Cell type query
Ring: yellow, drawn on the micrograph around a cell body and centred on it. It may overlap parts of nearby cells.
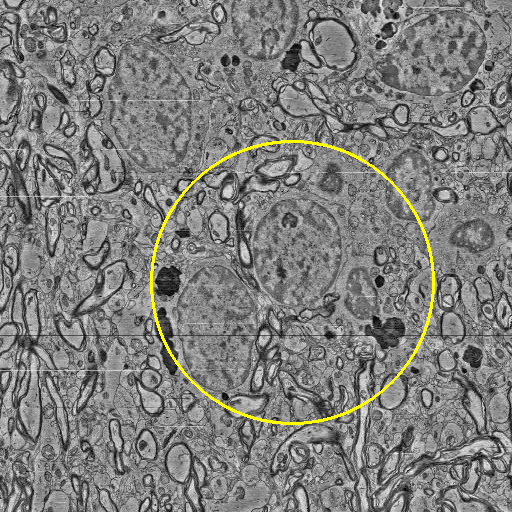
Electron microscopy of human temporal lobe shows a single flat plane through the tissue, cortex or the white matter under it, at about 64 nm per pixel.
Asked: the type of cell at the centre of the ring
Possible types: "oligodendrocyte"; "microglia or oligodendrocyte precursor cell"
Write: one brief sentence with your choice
The ring marks an oligodendrocyte.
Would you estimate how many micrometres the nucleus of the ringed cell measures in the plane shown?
In this plane, the nucleus is roughly 8 by 6 micrometres.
